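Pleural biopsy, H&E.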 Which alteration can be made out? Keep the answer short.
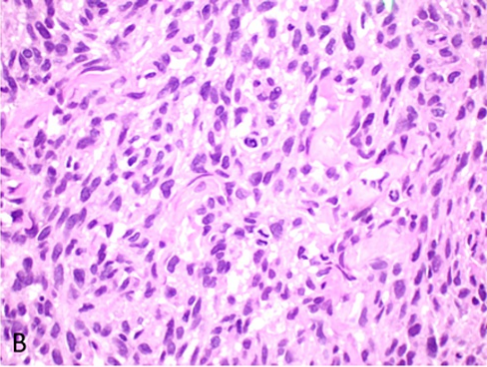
marked nuclear atypia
